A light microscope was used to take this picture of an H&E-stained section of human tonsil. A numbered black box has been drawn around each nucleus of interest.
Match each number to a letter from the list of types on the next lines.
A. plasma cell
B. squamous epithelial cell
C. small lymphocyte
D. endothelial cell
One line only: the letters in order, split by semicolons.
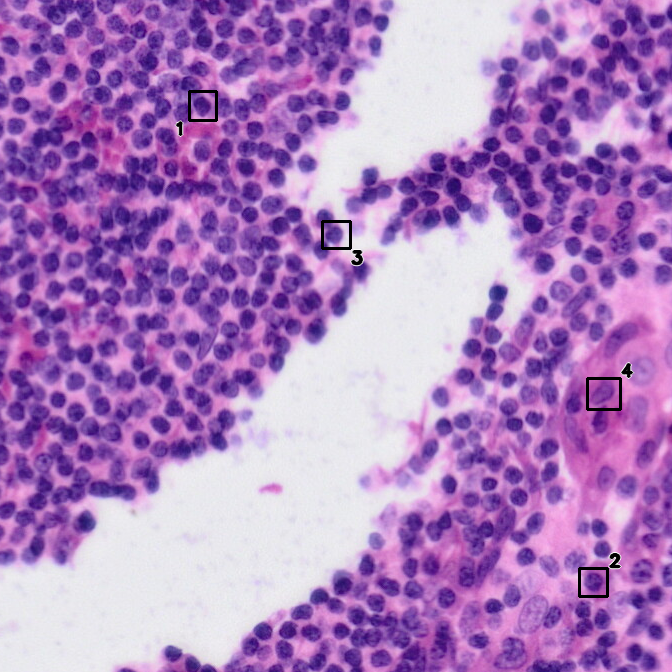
C; A; C; B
